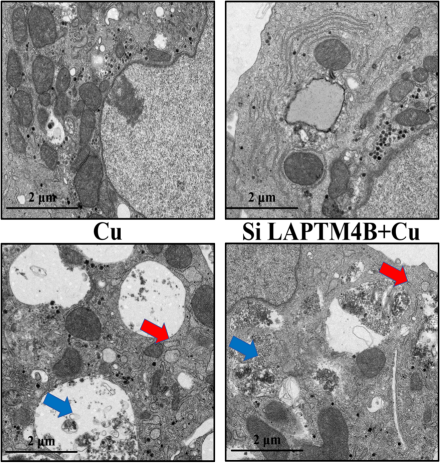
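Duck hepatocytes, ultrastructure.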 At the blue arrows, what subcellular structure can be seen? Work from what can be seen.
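Autolysosomes. The blue arrows point to membrane-bound vacuoles in the cytoplasm. These vacuoles hold heterogeneous electron-dense debris.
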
